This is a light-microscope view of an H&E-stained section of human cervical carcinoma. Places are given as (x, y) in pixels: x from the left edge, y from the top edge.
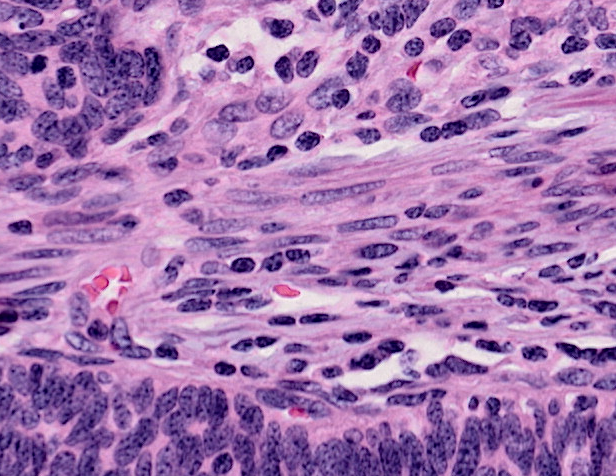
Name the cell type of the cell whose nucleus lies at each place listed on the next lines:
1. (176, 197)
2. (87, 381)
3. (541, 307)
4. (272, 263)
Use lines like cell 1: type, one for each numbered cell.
cell 1: lymphocyte
cell 2: squamous carcinoma cell
cell 3: lymphocyte
cell 4: lymphocyte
